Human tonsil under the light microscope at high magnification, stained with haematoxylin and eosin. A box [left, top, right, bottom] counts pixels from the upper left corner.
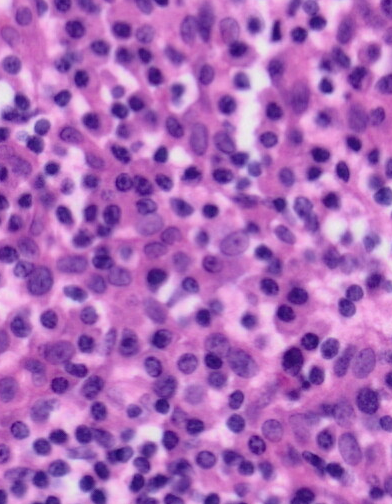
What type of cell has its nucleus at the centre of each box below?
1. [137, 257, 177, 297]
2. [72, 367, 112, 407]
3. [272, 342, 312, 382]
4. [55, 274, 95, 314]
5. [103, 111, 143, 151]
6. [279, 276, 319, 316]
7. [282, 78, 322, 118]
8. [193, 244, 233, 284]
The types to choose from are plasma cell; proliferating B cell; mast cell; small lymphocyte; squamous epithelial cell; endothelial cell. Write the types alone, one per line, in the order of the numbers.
plasma cell
plasma cell
squamous epithelial cell
squamous epithelial cell
plasma cell
plasma cell
squamous epithelial cell
plasma cell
